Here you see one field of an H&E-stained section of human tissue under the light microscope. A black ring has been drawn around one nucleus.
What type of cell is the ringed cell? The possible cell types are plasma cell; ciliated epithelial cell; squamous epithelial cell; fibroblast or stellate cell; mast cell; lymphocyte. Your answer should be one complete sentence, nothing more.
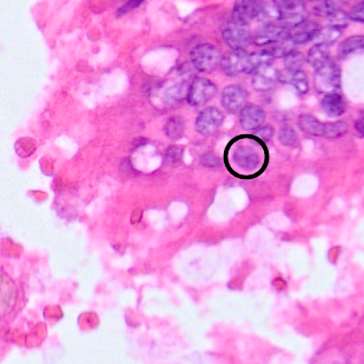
At the level of cell identity, the ringed cell is a ciliated epithelial cell.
